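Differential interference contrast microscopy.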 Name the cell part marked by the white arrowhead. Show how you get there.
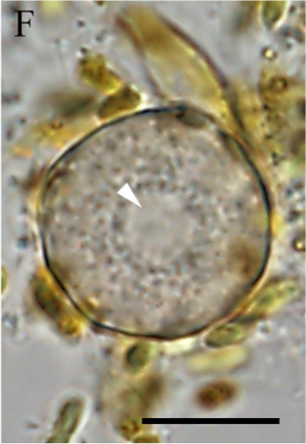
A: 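Nucleus. The arrowhead points to a pale, smooth round area in the middle of the cell. The surrounding cytoplasm is granular.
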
